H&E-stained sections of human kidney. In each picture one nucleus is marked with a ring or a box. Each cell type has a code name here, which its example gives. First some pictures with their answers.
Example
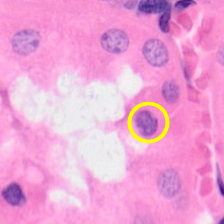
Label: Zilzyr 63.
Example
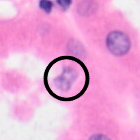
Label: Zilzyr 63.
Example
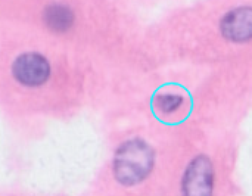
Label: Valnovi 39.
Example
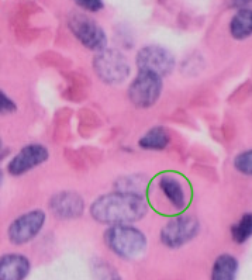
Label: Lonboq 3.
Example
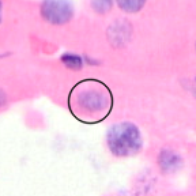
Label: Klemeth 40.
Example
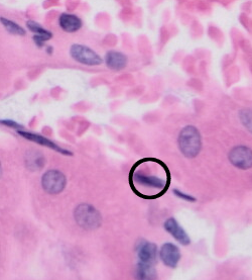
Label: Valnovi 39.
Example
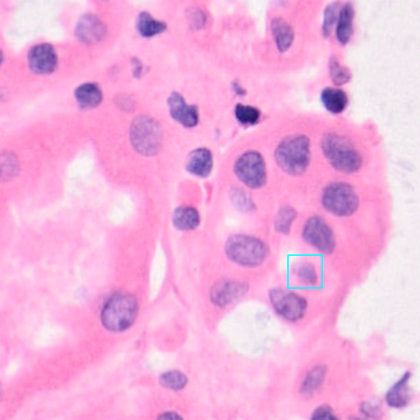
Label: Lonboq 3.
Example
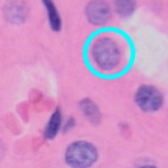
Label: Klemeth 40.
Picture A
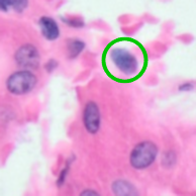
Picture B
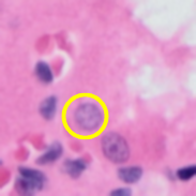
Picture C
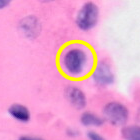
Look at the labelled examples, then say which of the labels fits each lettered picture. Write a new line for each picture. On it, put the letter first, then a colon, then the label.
A: Valnovi 39.
B: Zilzyr 63.
C: Klemeth 40.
